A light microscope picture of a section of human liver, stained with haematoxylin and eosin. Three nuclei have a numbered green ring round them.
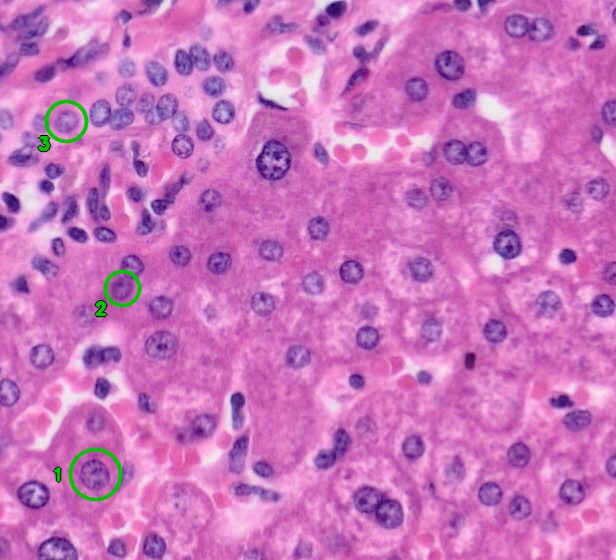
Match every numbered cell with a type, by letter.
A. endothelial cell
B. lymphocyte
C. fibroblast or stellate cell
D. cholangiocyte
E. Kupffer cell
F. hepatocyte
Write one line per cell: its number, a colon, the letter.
1: F
2: F
3: D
